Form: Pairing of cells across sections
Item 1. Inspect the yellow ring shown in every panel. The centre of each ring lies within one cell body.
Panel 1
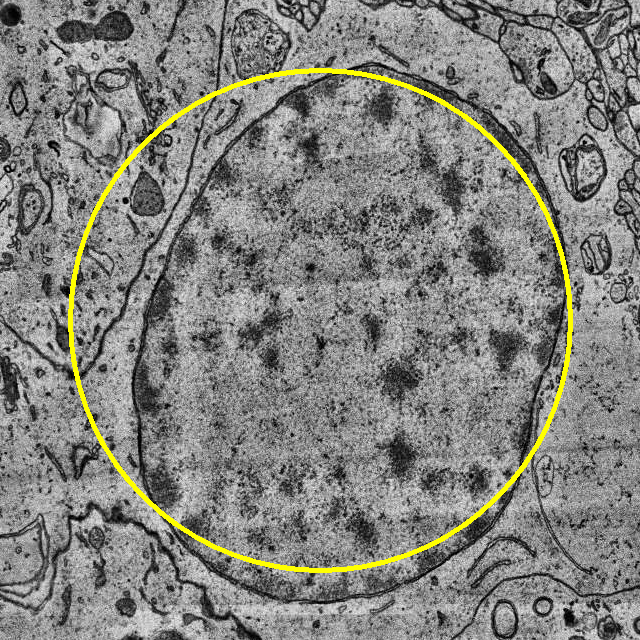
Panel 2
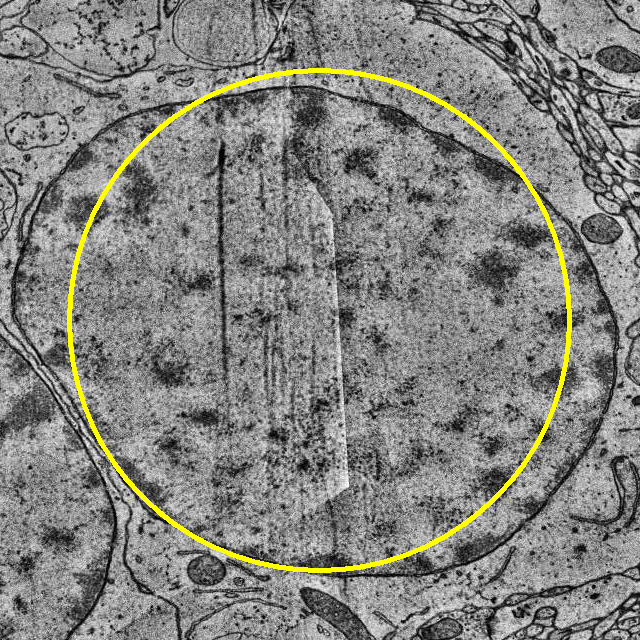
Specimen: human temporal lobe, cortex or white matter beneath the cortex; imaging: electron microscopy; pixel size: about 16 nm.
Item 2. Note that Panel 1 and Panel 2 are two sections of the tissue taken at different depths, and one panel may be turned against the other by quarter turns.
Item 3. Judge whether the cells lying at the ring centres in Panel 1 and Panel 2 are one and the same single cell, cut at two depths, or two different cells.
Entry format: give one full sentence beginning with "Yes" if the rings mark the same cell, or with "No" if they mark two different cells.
Yes, the same cell has been marked in both yellow rings.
